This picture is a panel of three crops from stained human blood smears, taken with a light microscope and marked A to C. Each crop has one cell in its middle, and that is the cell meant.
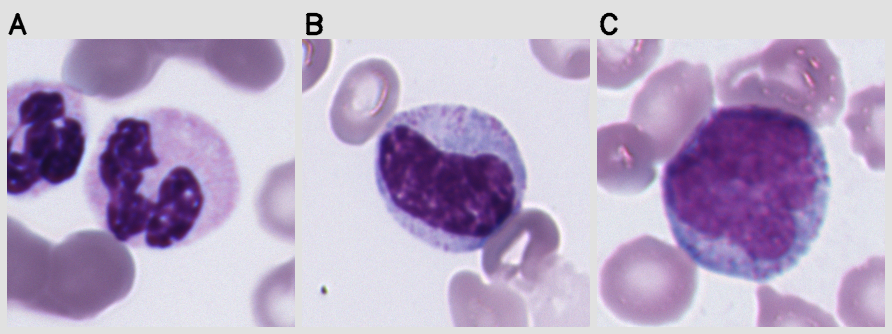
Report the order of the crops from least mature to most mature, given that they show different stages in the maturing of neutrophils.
C, B, A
